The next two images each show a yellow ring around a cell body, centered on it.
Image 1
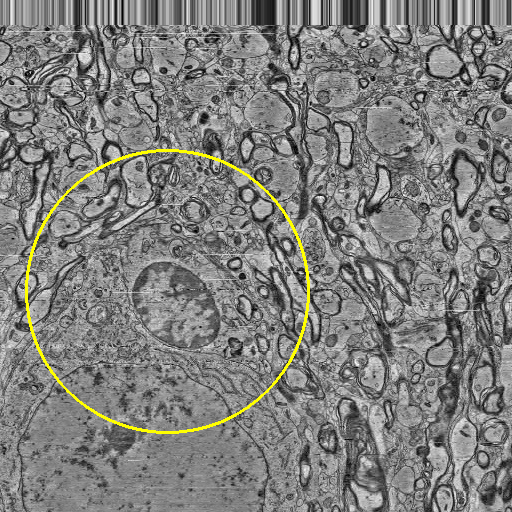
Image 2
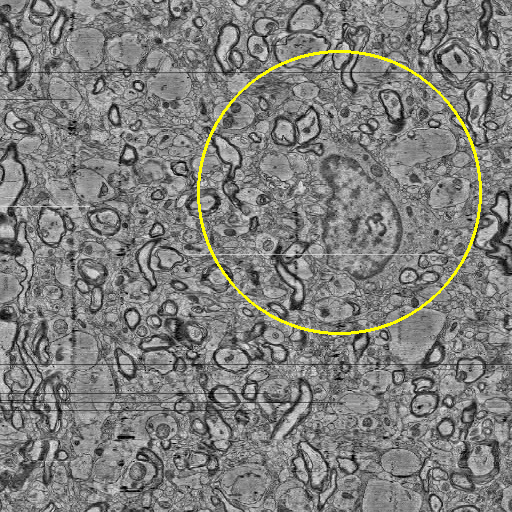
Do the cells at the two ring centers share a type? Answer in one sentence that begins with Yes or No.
No, across the two images the cells at the ring centers are of two types.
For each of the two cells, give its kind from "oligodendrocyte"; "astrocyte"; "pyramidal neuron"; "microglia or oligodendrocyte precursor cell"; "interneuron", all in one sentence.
The first picture has a microglial cell or oligodendrocyte precursor cell in its ring, the second has an oligodendrocyte.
